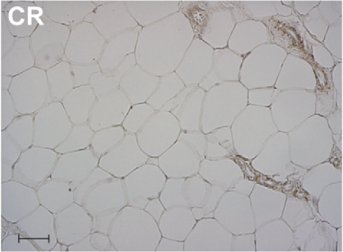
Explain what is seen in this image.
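White adipose tissue with numerous polygonal adipocytes of varying size, each appearing empty with a thin cytoplasmic rim. Elongated stromal strands run between groups of adipocytes.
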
